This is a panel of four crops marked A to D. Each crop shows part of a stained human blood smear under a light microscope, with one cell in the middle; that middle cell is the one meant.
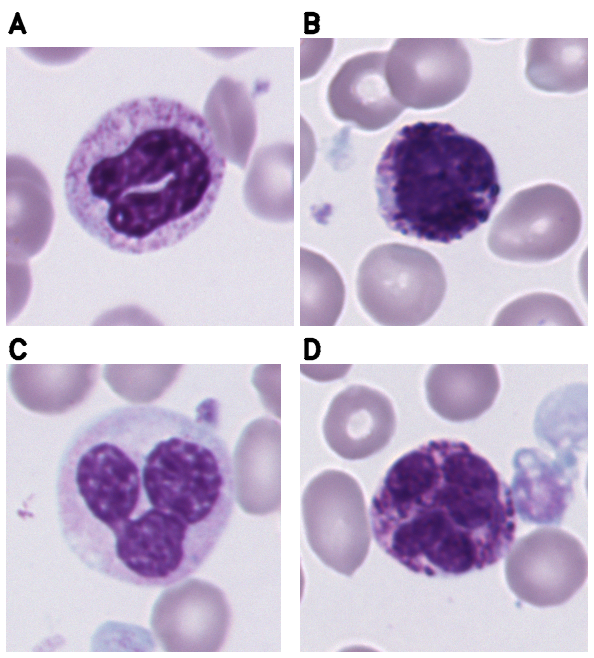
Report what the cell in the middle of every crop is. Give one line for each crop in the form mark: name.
A: segmented neutrophil
B: basophil
C: segmented neutrophil
D: basophil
